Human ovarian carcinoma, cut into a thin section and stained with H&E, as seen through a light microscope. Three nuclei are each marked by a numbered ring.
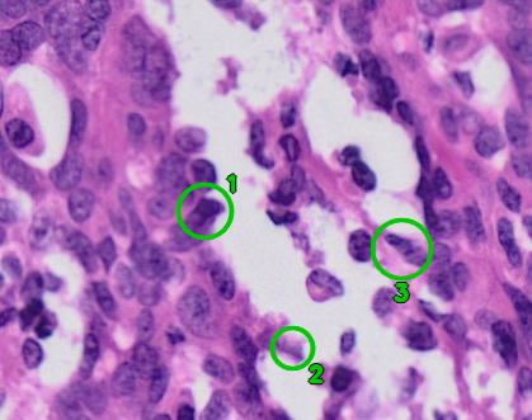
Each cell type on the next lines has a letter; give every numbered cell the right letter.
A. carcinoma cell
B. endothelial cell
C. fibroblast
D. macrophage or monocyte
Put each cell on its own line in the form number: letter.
1: A
2: A
3: D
